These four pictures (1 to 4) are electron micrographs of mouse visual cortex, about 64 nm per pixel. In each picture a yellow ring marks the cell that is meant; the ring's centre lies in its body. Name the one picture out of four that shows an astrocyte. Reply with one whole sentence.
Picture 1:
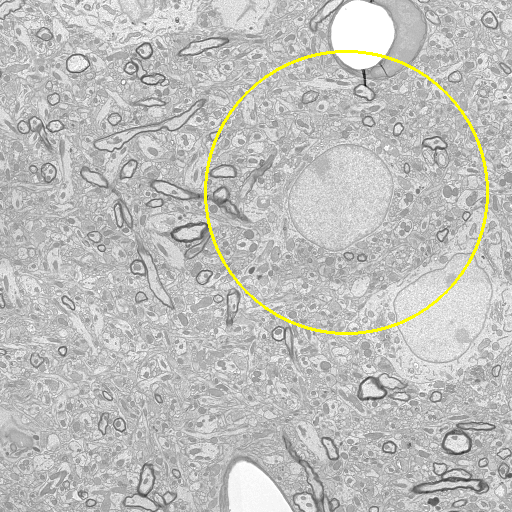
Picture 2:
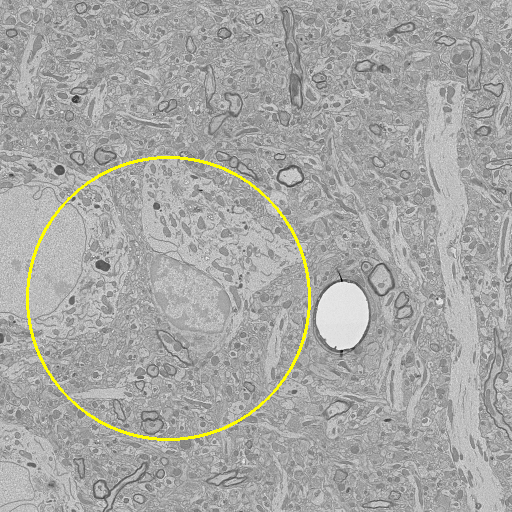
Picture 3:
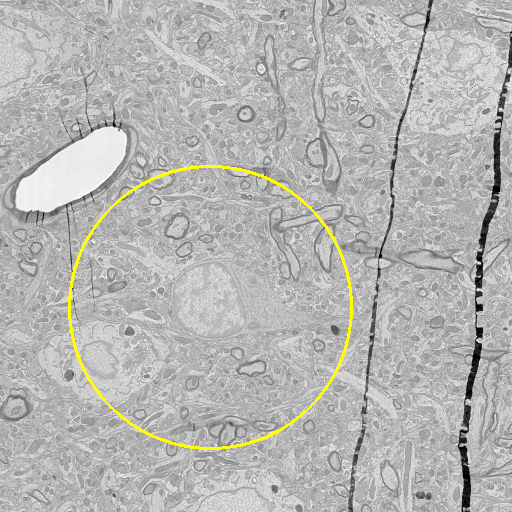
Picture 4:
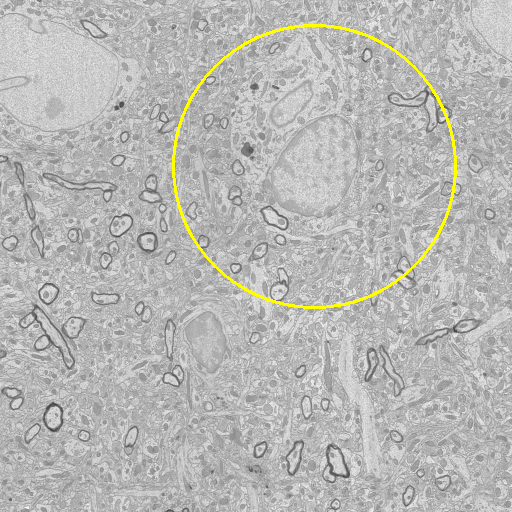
Picture 1 shows the astrocyte.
